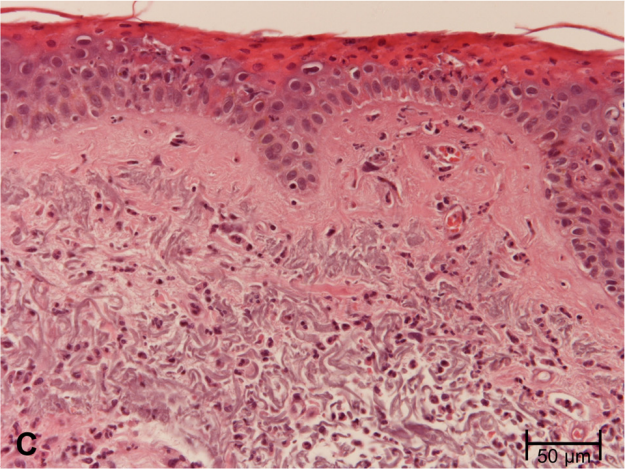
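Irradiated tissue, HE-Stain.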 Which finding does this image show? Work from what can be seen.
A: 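Hypereosinophilic superficial epidermal layers. The upper layers of the epidermis are stained intensely red-pink. The deeper epidermal cells are more purple.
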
